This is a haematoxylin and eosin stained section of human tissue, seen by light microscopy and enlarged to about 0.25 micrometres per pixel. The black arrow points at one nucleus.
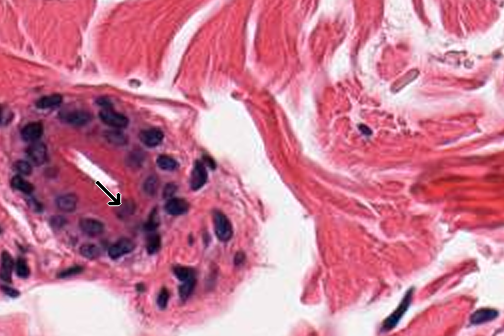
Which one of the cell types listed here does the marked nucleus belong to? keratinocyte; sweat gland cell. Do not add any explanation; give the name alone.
sweat gland cell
